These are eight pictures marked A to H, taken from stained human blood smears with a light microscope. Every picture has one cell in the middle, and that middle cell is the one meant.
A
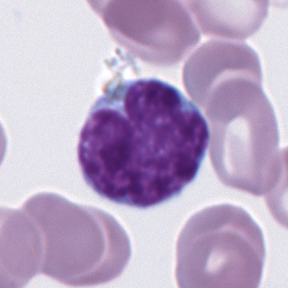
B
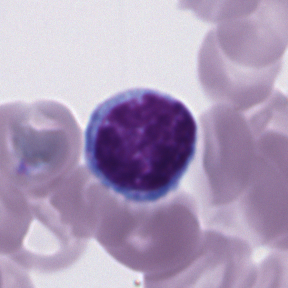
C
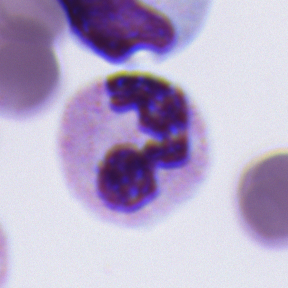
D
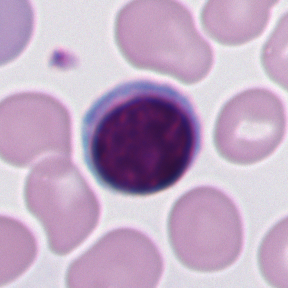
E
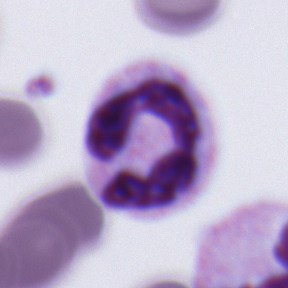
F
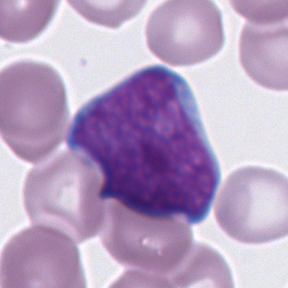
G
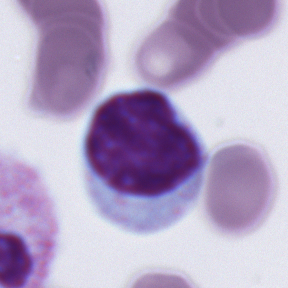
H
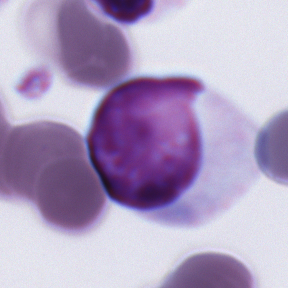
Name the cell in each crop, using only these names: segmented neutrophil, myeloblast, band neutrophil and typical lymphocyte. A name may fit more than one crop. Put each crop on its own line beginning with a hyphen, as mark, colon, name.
- A: myeloblast
- B: typical lymphocyte
- C: segmented neutrophil
- D: typical lymphocyte
- E: segmented neutrophil
- F: myeloblast
- G: typical lymphocyte
- H: typical lymphocyte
